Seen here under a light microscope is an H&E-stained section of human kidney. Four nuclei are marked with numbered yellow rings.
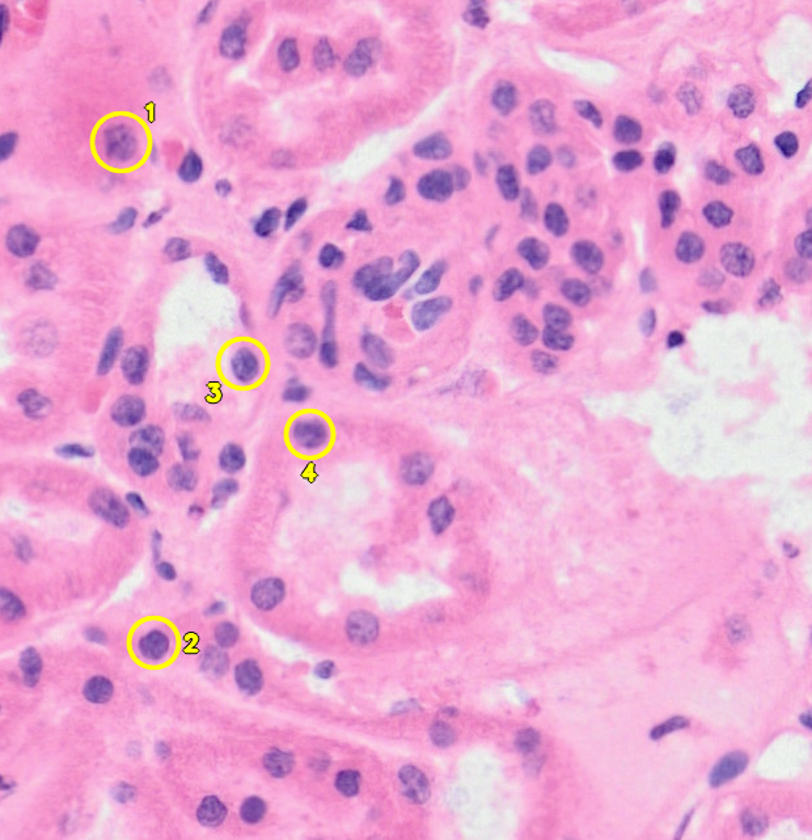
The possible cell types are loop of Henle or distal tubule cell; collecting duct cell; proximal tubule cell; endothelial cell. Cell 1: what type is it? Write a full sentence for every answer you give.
Number 1 among the marked cells is a proximal tubule cell.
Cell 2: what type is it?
At number 2, the marked cell is a proximal tubule cell.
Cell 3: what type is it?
The cell whose nucleus carries the number 3 is a loop of Henle or distal tubule cell.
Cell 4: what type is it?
Belonging to a proximal tubule cell is the nucleus that carries the number 4.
